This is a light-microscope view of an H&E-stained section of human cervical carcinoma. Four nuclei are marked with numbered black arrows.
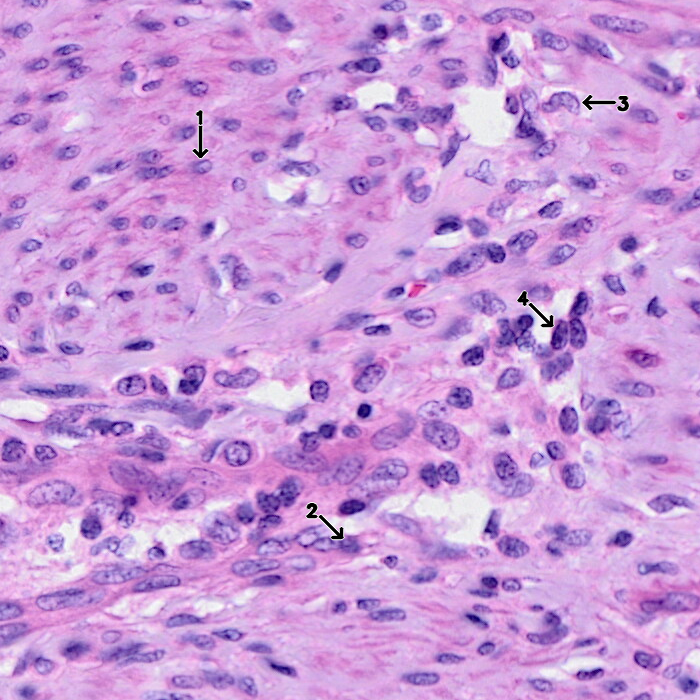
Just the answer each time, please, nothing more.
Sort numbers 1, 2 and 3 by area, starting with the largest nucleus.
3, 2, 1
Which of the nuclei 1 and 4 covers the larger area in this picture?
4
